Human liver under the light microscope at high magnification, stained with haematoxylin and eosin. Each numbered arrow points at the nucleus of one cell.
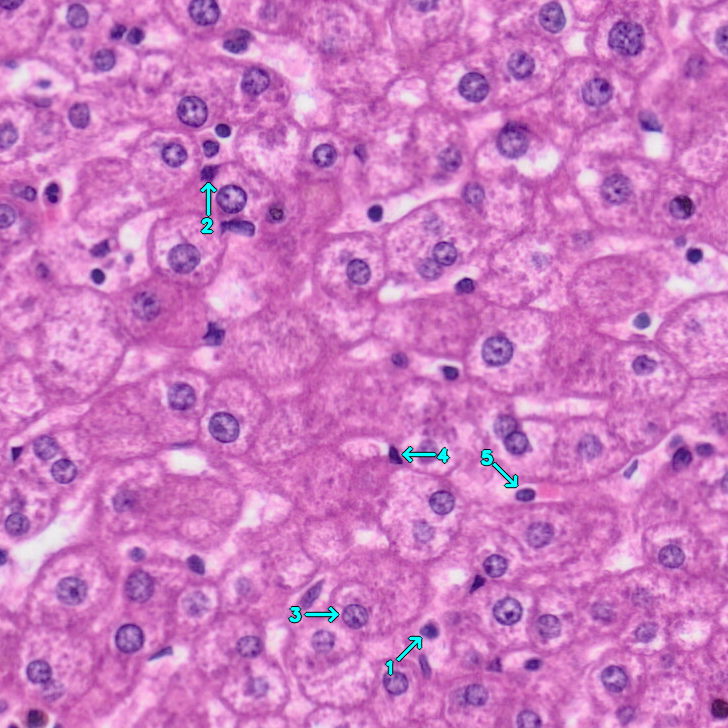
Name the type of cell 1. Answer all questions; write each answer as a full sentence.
In this section, the cell numbered 1 is a lymphocyte.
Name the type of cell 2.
Cell 2, among those numbered, is a fibroblast or stellate cell.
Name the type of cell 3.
Looking at the numbered marks, cell 3 is a hepatocyte.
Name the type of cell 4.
The one numbered 4 among the marked cells is a fibroblast or stellate cell.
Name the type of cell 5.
The cell marked with the number 5 is a lymphocyte.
